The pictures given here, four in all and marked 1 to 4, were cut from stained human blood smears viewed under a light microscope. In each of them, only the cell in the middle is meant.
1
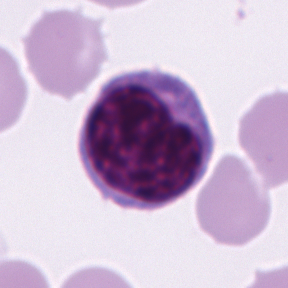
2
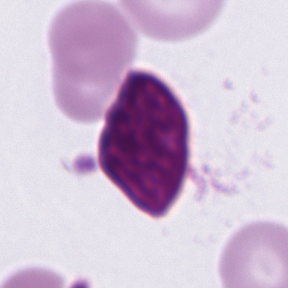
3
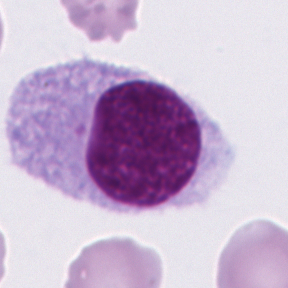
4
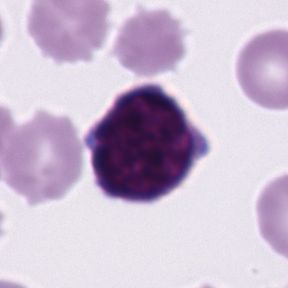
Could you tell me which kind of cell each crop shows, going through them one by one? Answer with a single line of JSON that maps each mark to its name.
{"1": "normoblast", "2": "smudge cell", "3": "hairy cell", "4": "normoblast"}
